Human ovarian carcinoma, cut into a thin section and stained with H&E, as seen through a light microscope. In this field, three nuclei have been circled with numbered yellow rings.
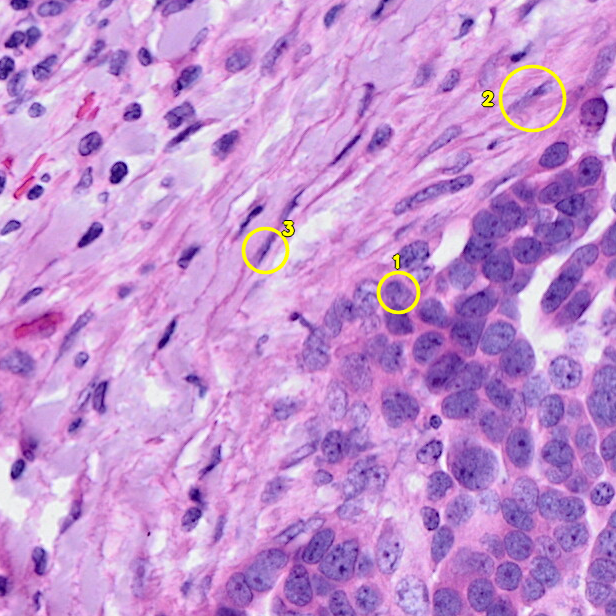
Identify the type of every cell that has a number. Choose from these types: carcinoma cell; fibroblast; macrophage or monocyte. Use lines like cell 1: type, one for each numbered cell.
cell 1: carcinoma cell
cell 2: fibroblast
cell 3: fibroblast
